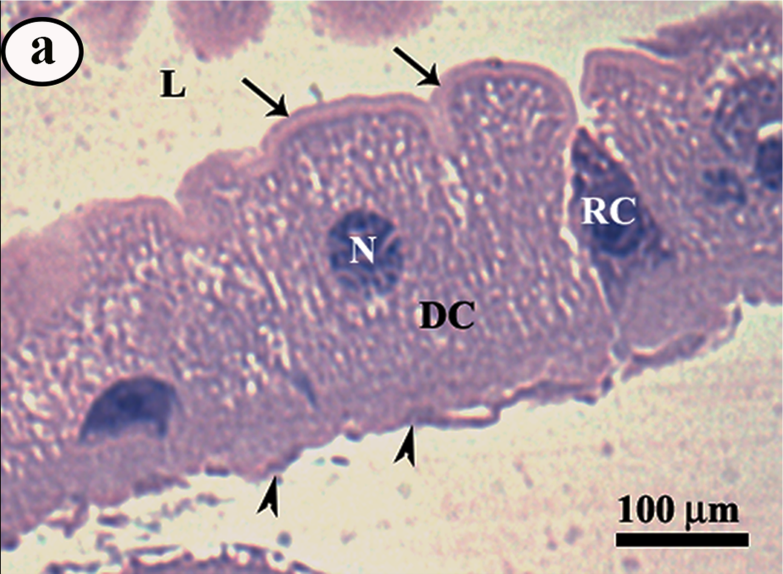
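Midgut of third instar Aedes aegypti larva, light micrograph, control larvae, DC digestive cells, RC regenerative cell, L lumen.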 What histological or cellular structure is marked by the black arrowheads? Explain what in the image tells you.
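Basal membrane. The arrowheads point at the thin line along the base of the epithelium, on the side away from the lumen.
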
